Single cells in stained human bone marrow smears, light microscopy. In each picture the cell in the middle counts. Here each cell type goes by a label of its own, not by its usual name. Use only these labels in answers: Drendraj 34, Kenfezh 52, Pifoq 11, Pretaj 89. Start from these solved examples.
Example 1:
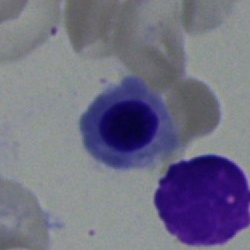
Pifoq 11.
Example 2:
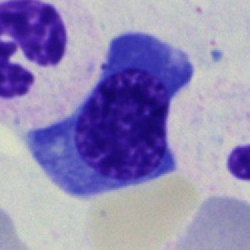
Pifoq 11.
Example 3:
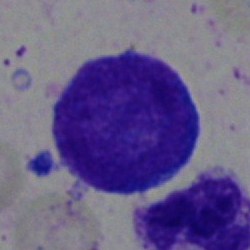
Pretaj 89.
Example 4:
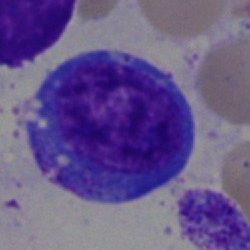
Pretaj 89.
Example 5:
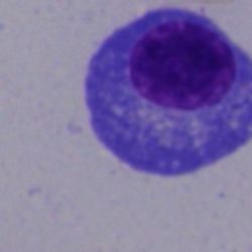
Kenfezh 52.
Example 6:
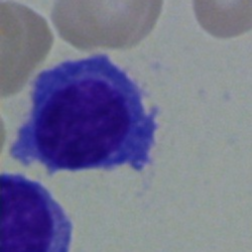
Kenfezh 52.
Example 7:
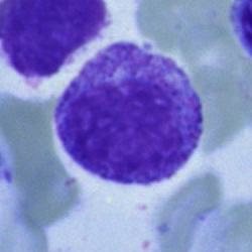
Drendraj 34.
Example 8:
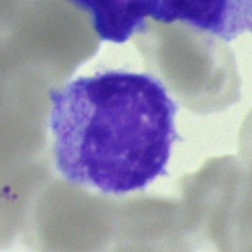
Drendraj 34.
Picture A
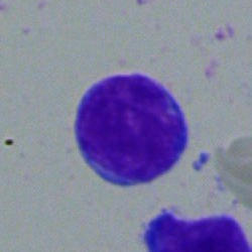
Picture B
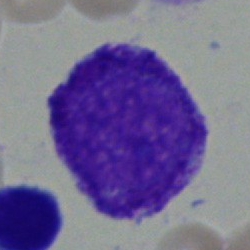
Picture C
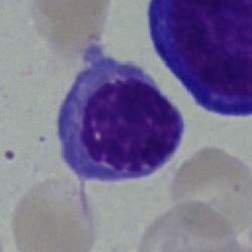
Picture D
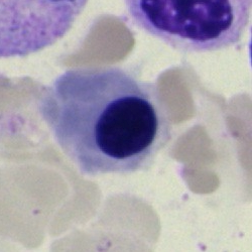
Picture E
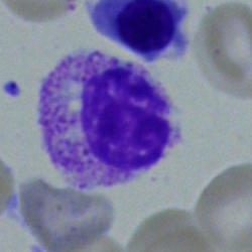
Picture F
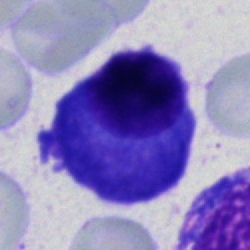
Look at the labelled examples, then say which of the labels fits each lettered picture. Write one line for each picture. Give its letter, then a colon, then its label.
A: Pretaj 89.
B: Pretaj 89.
C: Pifoq 11.
D: Pifoq 11.
E: Drendraj 34.
F: Kenfezh 52.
